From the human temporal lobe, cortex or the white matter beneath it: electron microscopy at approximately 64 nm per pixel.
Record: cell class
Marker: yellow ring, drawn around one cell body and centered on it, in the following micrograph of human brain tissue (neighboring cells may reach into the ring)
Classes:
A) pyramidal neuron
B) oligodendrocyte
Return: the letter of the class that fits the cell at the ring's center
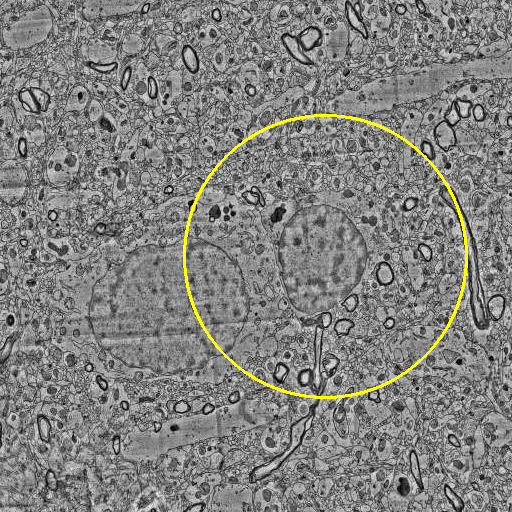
B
